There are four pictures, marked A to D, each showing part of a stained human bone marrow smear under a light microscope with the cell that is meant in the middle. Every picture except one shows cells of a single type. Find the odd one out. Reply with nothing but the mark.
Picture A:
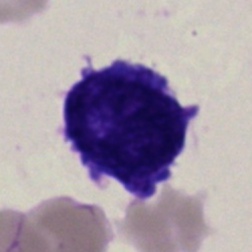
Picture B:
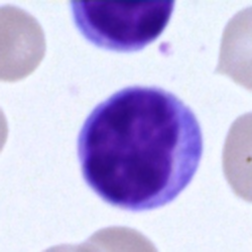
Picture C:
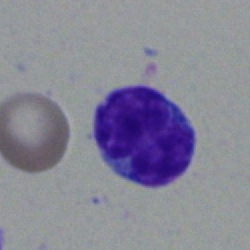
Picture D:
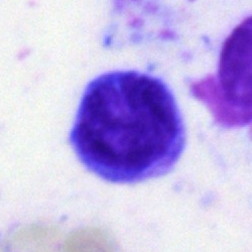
A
